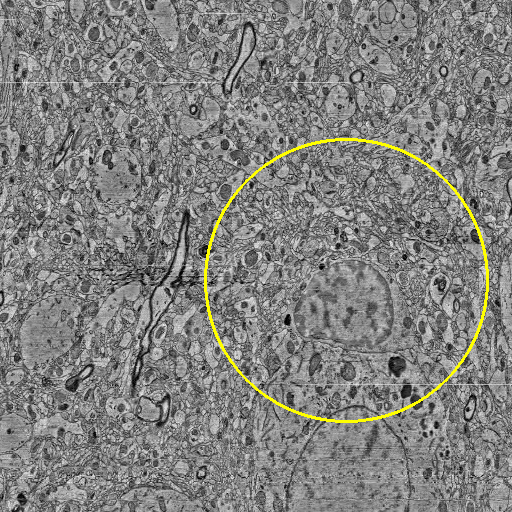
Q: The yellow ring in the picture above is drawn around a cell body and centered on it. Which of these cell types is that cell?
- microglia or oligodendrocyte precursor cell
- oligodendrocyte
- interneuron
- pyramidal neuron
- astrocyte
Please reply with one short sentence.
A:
The cell body at the ring's center belongs to an oligodendrocyte.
